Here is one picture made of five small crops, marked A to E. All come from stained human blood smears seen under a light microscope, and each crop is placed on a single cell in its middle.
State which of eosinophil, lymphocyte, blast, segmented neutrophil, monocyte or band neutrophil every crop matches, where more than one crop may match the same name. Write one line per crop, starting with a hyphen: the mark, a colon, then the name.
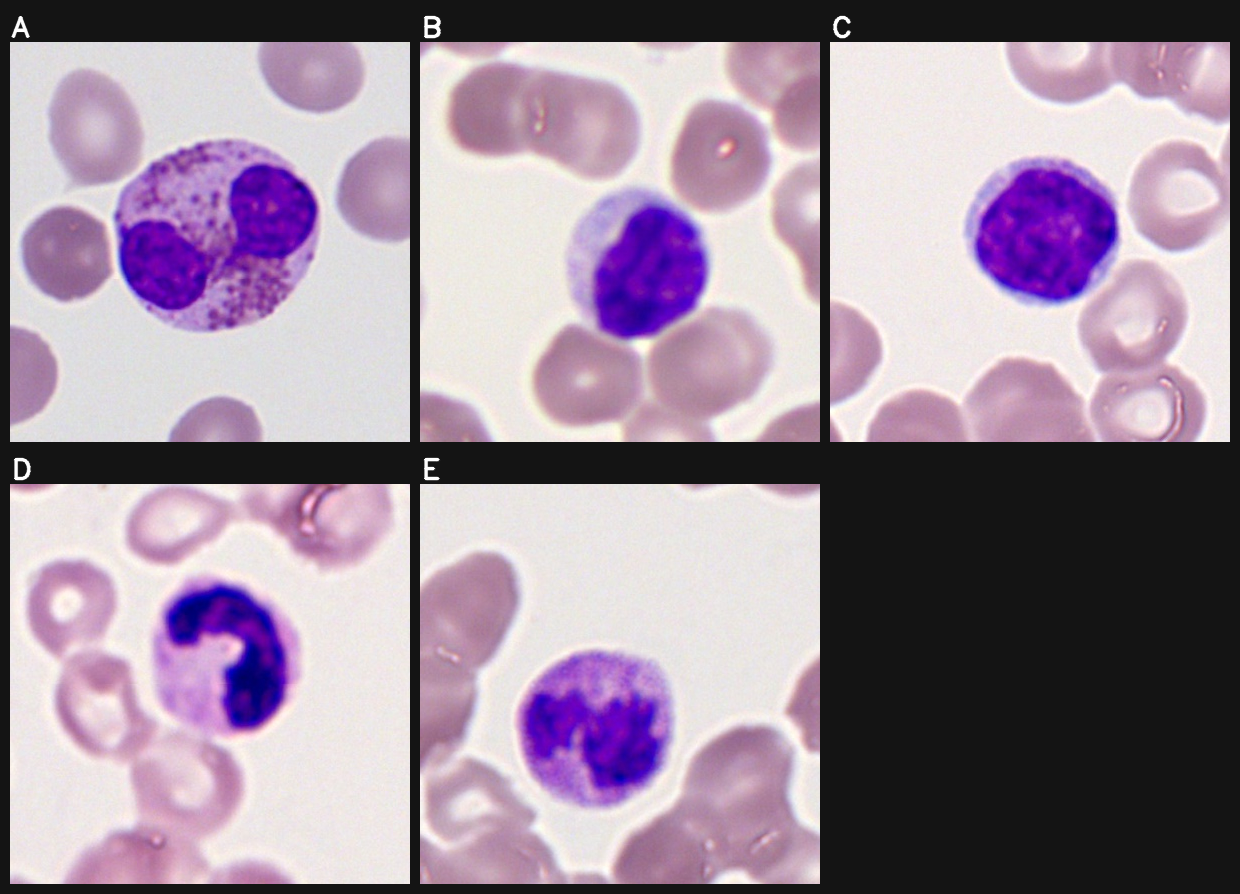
- A: eosinophil
- B: lymphocyte
- C: lymphocyte
- D: band neutrophil
- E: segmented neutrophil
